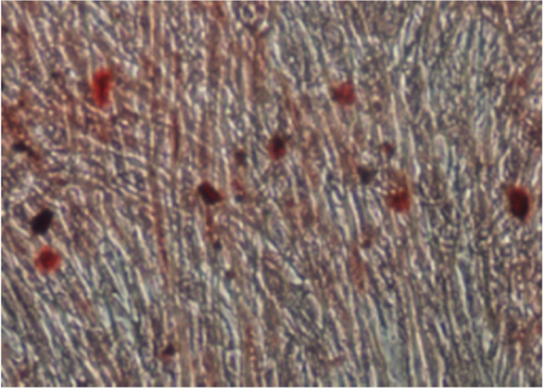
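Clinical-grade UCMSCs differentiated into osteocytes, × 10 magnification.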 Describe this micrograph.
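The cells run in roughly parallel streams across the field. Scattered over this layer are small, round red-brown to dark-brown stained deposits. A diffuse reddish tint covers much of the layer.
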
